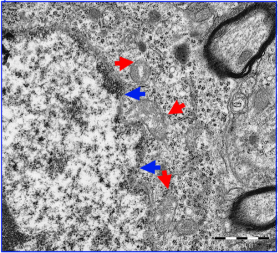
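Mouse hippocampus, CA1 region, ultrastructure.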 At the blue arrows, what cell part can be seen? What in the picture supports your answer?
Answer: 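The blue arrows point at the edge of the large nucleus on the left where it meets cytoplasm.
Hence: nuclear membrane.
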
